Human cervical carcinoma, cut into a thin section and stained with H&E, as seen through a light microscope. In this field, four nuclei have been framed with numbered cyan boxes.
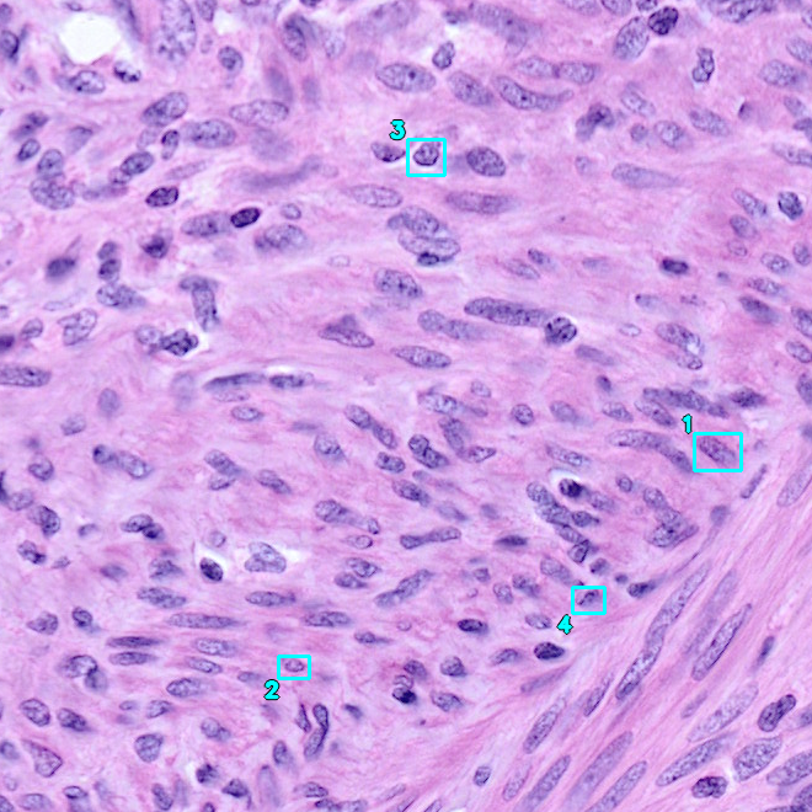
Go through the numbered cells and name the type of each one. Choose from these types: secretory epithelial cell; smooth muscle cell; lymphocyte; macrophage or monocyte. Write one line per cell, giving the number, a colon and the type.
1: smooth muscle cell
2: smooth muscle cell
3: lymphocyte
4: smooth muscle cell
